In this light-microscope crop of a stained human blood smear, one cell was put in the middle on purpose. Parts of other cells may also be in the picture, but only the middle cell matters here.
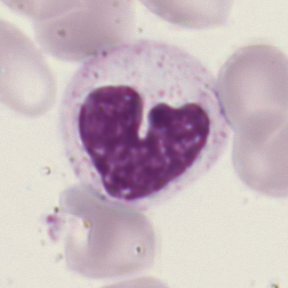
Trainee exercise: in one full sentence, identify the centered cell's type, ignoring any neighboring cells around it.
In the central position of this crop, the cell is a band neutrophil.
